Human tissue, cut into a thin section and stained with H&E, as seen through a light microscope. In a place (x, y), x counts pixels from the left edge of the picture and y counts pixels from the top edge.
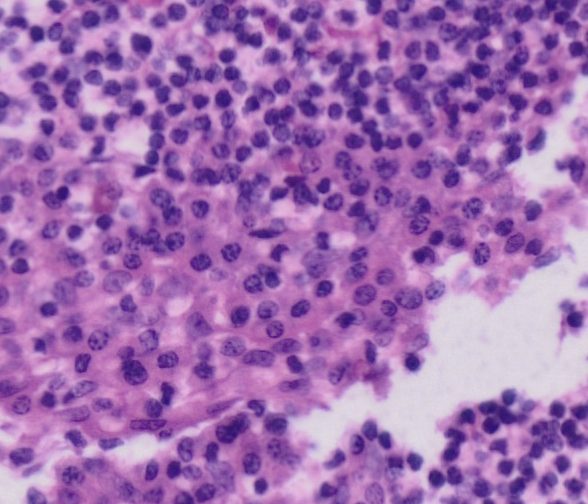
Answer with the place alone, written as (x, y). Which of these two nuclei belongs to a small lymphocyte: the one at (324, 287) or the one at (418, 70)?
(418, 70)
